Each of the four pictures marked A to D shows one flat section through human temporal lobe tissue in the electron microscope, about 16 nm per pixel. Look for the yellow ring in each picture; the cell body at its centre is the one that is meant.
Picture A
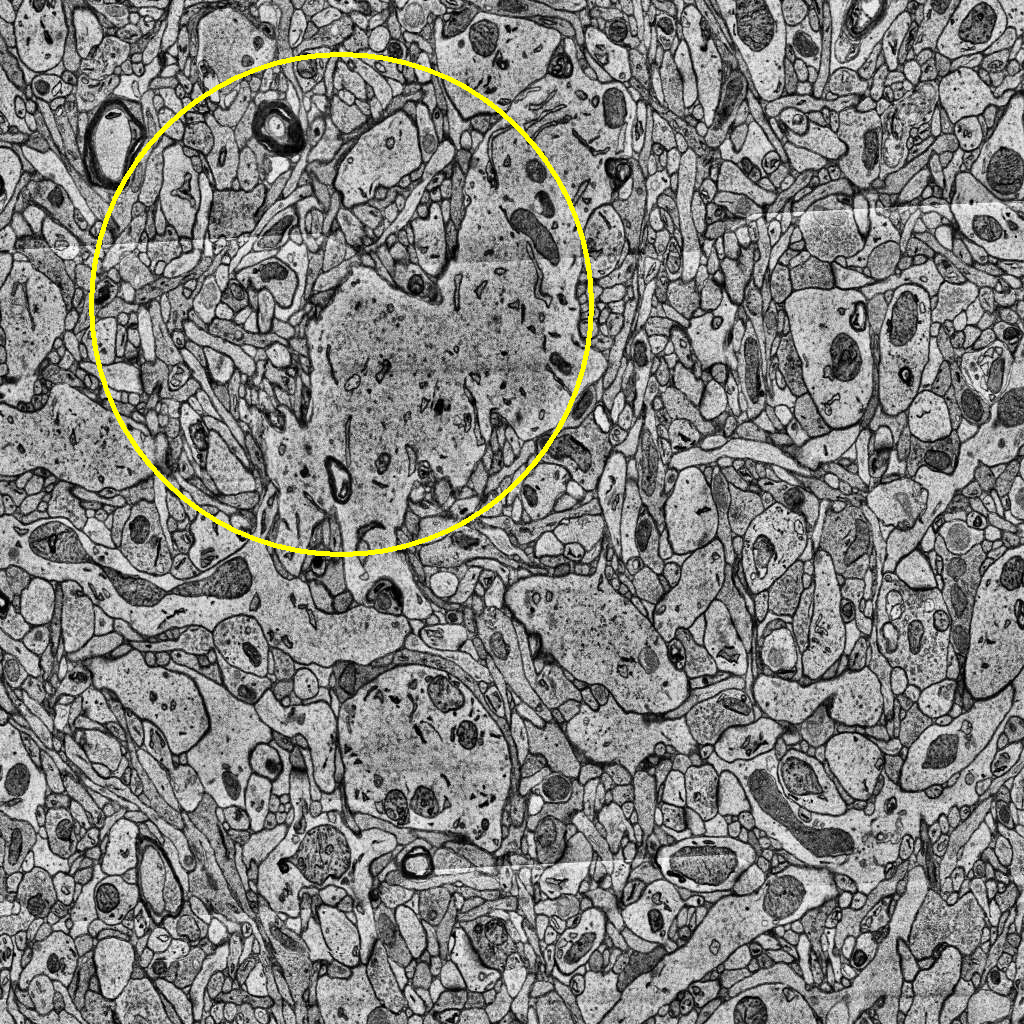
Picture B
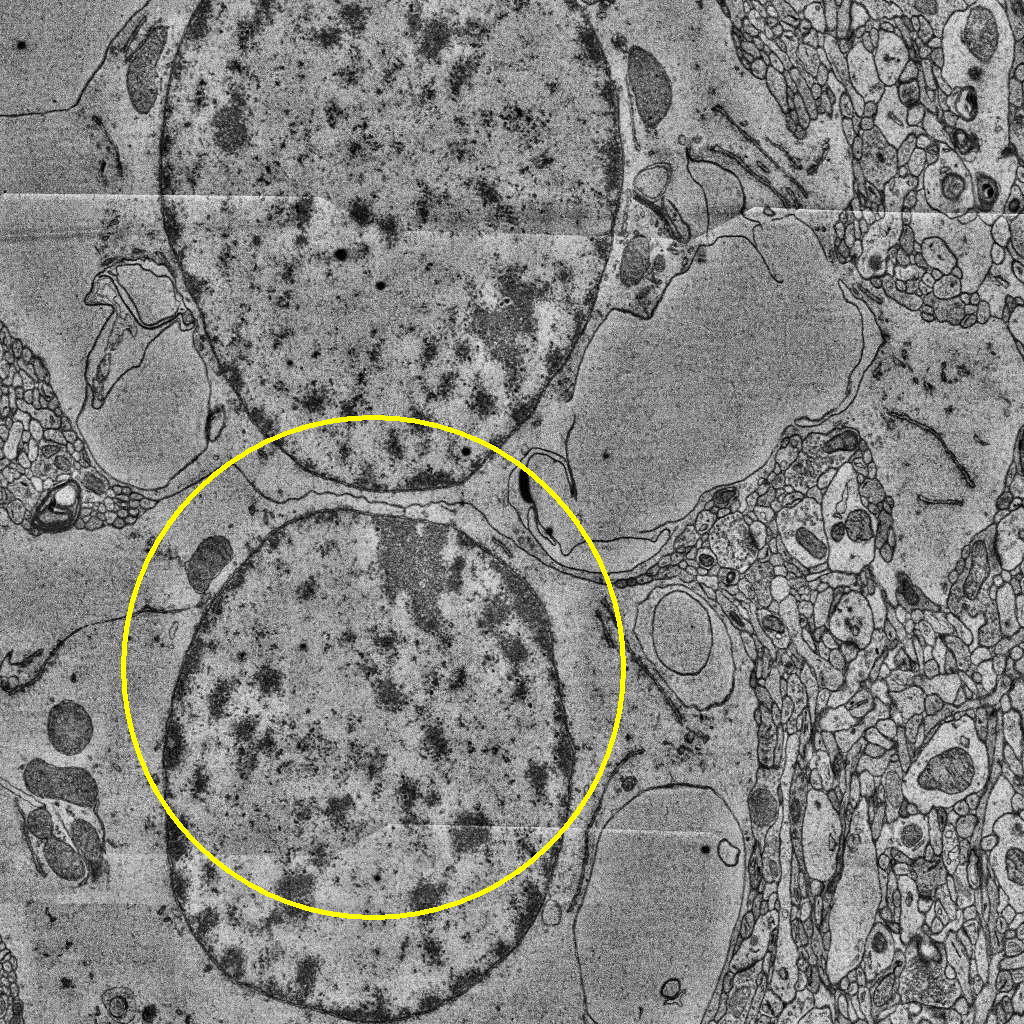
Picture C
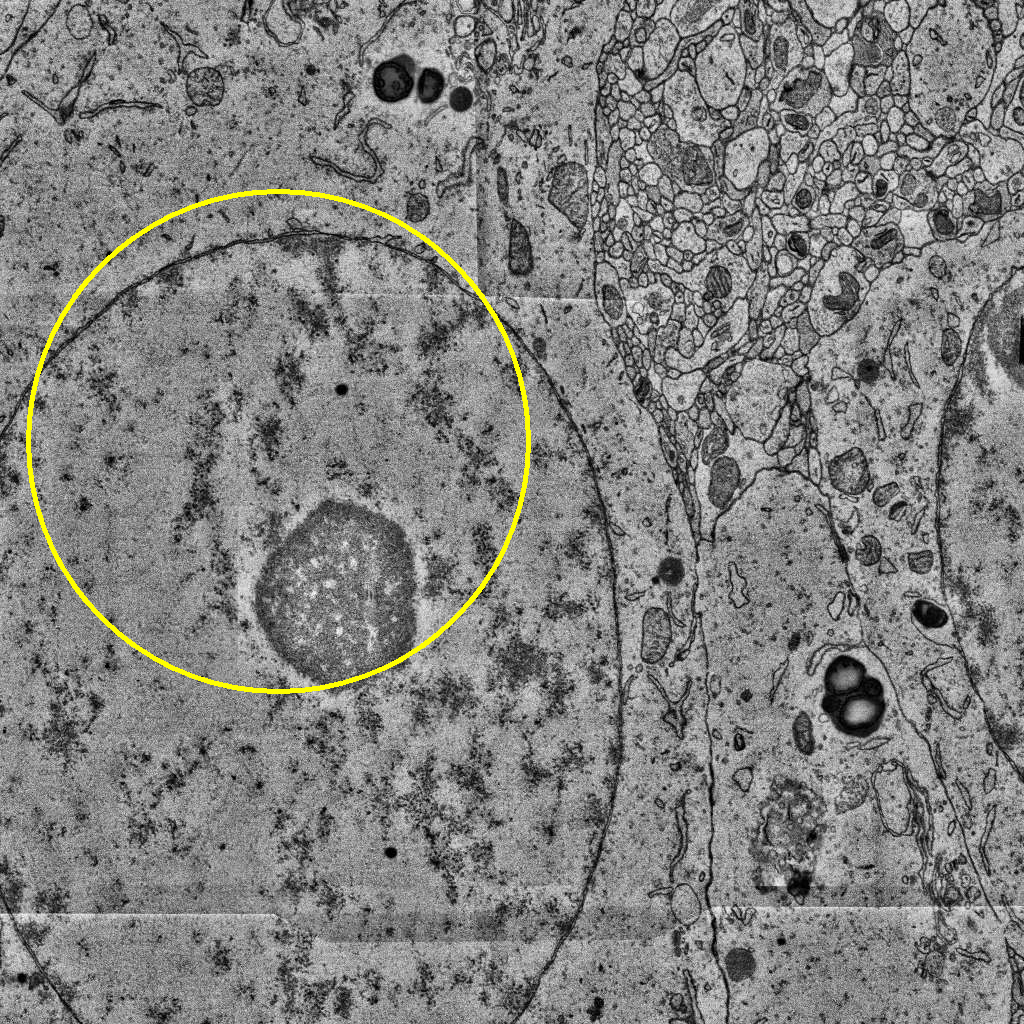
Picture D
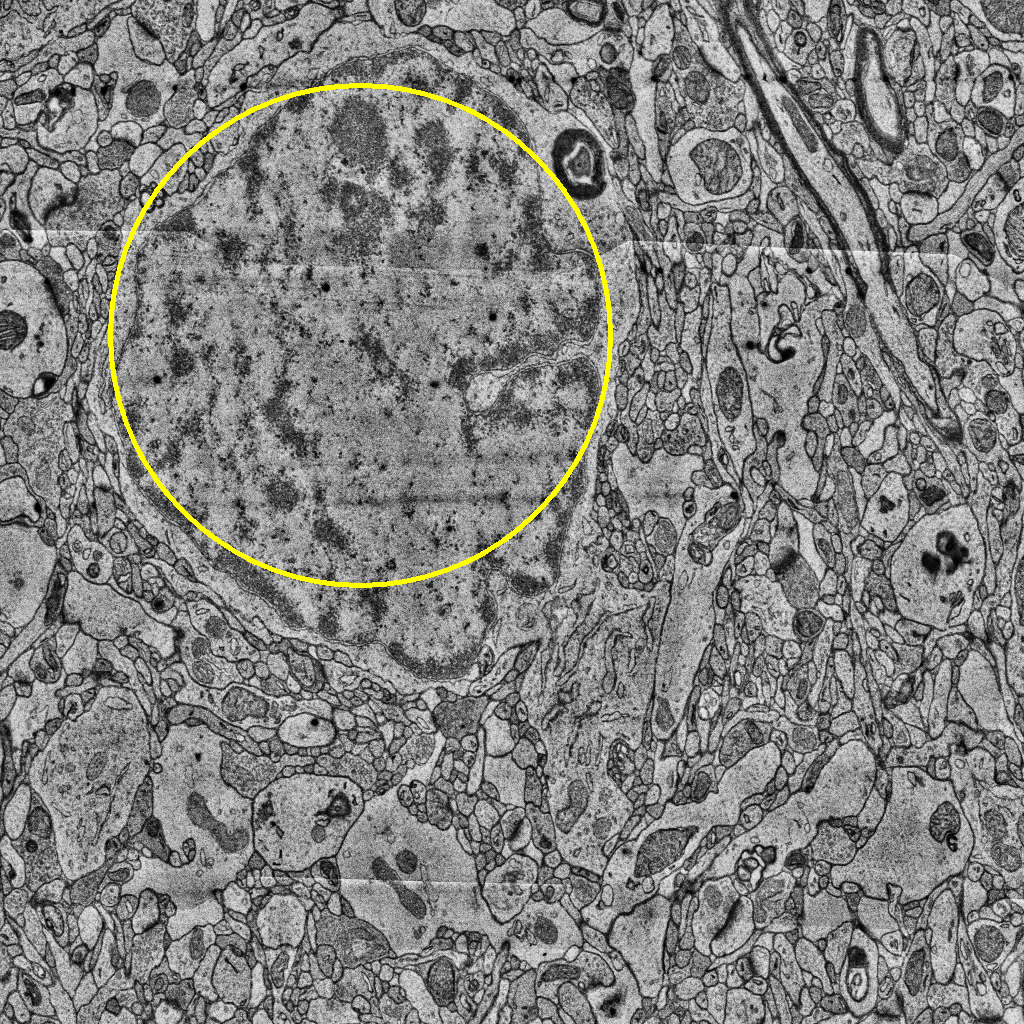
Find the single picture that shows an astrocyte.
The astrocyte is the one in picture B.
